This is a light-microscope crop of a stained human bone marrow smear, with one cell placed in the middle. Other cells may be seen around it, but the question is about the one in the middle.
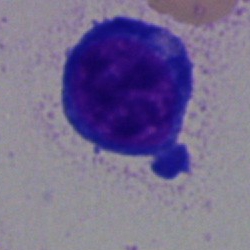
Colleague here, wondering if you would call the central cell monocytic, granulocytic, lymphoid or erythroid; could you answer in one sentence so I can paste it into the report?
Assigned to the erythroid lineage is the cell at the center.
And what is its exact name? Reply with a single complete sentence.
Positioned in the middle of the crop is a proerythroblast.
